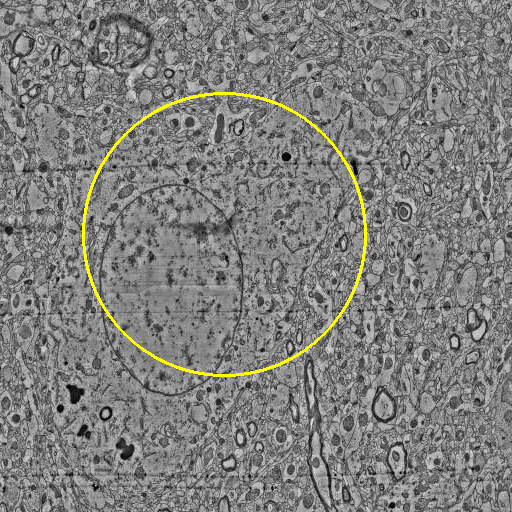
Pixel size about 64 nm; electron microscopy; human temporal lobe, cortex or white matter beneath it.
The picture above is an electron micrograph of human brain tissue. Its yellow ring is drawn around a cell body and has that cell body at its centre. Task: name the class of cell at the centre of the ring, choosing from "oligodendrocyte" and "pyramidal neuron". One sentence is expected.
The ring surrounds the body of a pyramidal neuron.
